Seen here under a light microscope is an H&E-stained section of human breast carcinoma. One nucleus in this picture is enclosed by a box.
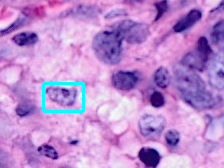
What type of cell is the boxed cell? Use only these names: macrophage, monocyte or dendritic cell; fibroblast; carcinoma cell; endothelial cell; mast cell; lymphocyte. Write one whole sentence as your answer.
In the context of this tissue, the boxed cell is a macrophage, monocyte or dendritic cell.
